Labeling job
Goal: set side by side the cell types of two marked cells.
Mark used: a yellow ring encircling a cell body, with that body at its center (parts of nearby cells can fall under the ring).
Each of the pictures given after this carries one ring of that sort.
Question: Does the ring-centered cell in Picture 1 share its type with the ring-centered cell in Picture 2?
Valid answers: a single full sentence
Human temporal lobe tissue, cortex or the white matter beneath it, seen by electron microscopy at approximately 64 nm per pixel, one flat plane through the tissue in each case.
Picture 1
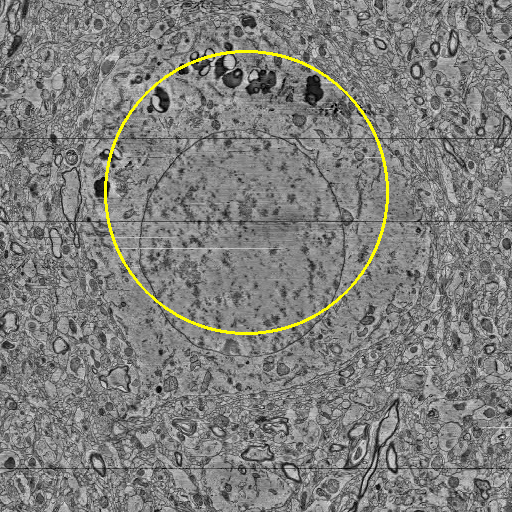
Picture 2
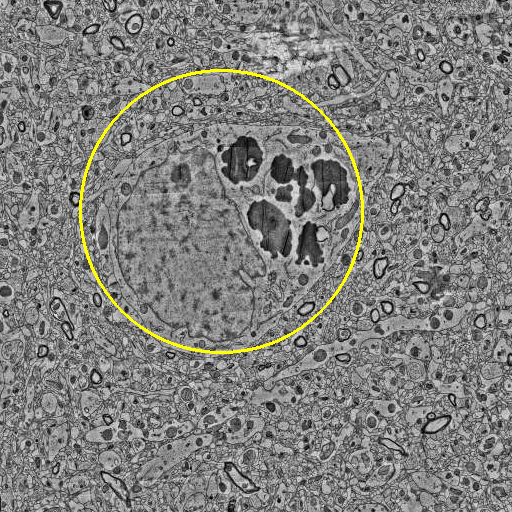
No, in Pictures 1 and 2 the cells at the ring centers have separate types.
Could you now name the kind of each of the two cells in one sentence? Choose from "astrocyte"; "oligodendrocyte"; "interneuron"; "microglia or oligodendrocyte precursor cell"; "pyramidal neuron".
The first ring encloses a pyramidal neuron; the second ring encloses an interneuron.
